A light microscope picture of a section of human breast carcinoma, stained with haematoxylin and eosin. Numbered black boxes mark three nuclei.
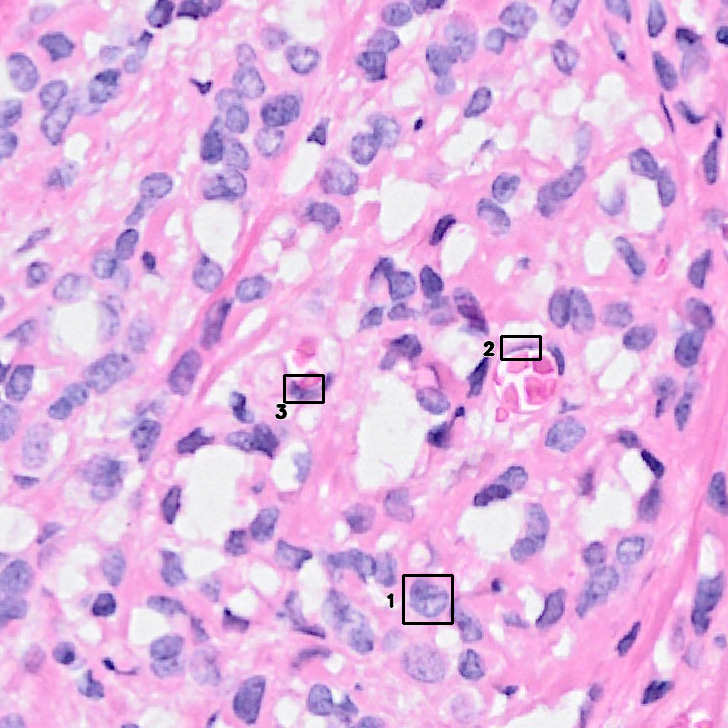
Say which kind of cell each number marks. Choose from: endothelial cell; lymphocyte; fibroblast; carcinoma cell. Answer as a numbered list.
1. carcinoma cell
2. endothelial cell
3. endothelial cell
